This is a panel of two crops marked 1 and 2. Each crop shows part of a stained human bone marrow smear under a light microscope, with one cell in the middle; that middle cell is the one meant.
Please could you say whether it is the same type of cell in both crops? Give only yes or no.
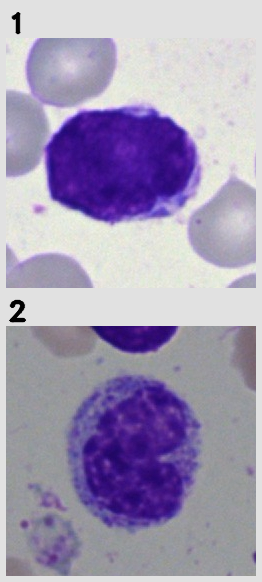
no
